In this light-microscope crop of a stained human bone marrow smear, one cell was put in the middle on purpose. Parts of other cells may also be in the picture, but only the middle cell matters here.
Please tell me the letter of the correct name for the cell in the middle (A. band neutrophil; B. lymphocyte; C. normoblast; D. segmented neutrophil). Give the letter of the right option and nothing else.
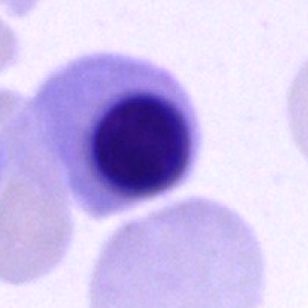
C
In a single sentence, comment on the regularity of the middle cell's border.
The membrane contour is even and smooth, with nothing projecting from it.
